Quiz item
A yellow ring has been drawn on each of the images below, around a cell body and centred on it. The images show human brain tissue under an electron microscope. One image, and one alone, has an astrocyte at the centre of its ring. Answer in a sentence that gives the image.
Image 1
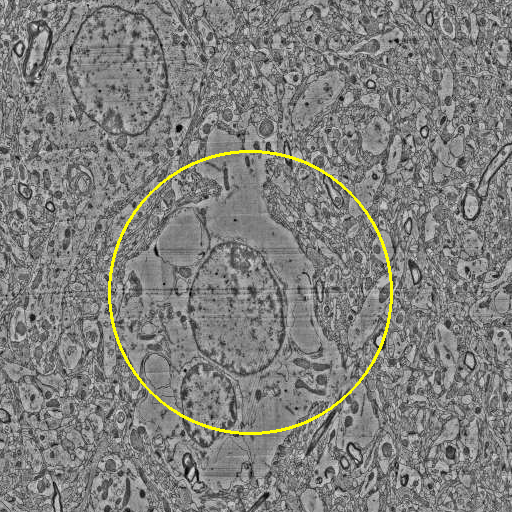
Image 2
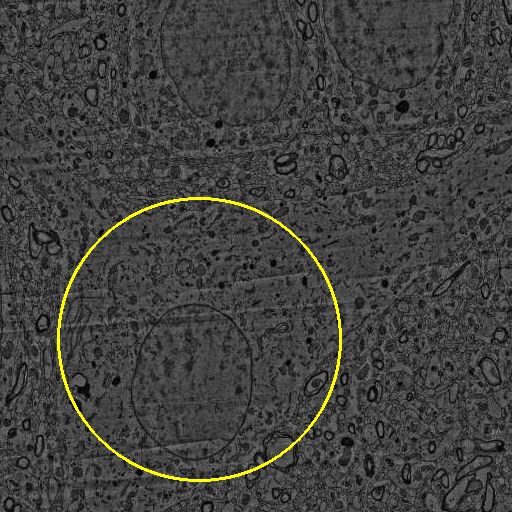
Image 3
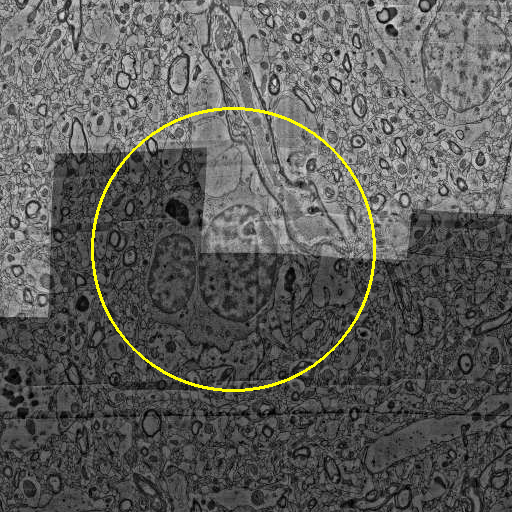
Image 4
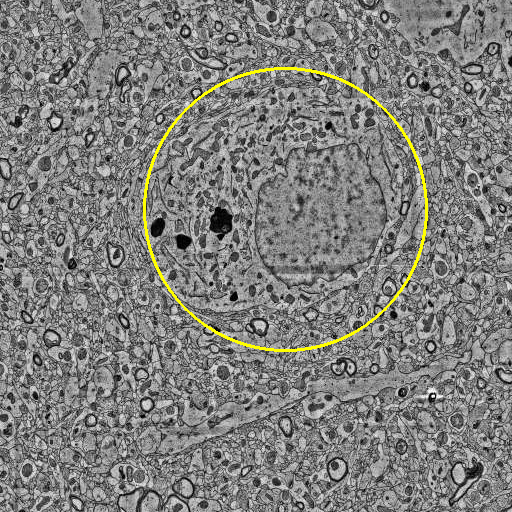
Image 1 shows it at the centre of the ring.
